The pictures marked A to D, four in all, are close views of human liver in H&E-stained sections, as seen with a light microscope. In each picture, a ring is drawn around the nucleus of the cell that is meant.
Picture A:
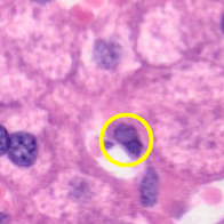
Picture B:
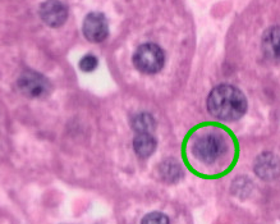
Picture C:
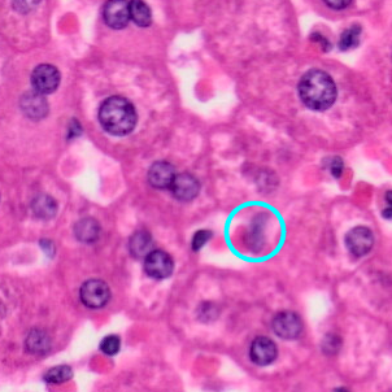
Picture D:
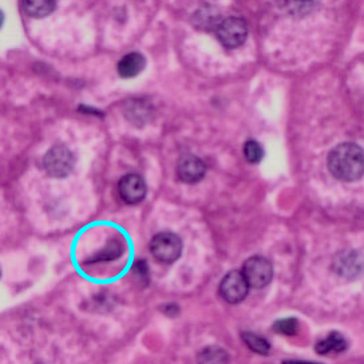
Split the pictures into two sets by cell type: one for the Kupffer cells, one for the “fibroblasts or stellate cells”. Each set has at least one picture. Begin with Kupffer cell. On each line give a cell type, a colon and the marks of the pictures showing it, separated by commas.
Kupffer cell: A, C, D
fibroblast or stellate cell: B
